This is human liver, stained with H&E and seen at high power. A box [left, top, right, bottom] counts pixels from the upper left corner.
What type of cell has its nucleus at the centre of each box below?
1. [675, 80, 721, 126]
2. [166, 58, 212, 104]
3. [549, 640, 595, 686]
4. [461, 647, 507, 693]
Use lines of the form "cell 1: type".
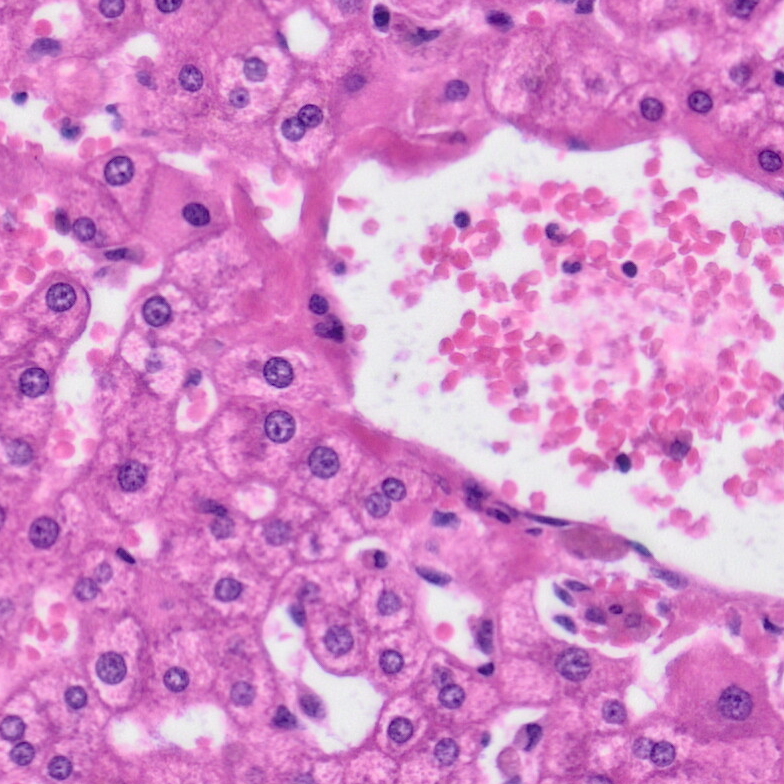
cell 1: hepatocyte
cell 2: hepatocyte
cell 3: hepatocyte
cell 4: fibroblast or stellate cell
